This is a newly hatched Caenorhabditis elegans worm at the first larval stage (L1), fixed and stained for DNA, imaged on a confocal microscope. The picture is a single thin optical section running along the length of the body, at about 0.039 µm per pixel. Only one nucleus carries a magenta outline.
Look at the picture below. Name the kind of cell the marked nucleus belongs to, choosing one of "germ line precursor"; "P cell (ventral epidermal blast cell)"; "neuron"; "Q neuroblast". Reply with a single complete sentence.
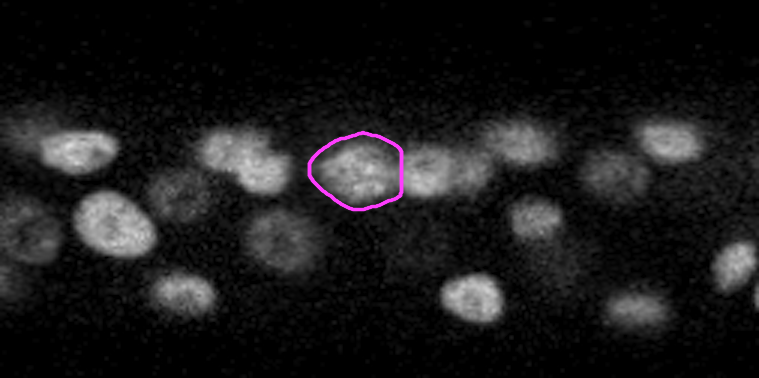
The marked nucleus is that of a germ line precursor.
